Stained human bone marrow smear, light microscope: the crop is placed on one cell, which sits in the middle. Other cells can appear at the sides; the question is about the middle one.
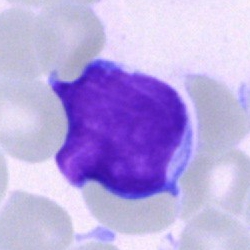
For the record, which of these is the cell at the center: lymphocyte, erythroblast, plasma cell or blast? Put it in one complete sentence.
In the central position of this crop, the cell is a blast.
